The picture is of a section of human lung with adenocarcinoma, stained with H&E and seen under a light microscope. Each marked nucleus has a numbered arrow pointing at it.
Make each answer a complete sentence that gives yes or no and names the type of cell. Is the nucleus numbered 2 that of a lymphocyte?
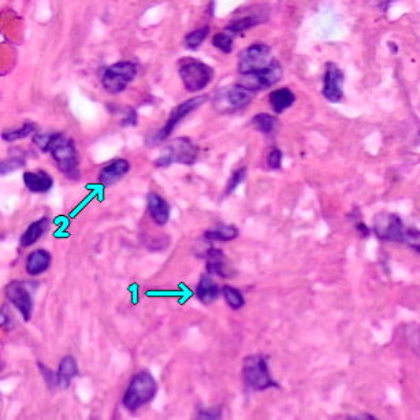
No, the one with number 2 is a mast cell, not a lymphocyte.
